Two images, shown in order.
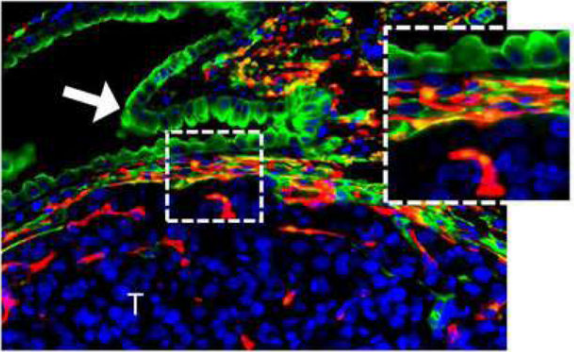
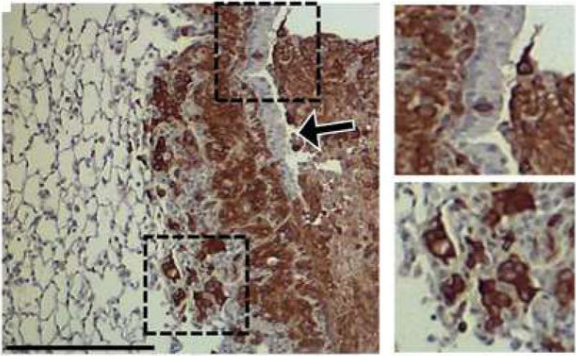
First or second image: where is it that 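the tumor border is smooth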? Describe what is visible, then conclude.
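The first image. First image: the tumor mass meets the lung along an even, curved band of compressed tissue. Second image: brown tumor cells extend in ragged groups into the alveoli along the edge.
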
